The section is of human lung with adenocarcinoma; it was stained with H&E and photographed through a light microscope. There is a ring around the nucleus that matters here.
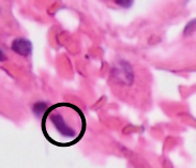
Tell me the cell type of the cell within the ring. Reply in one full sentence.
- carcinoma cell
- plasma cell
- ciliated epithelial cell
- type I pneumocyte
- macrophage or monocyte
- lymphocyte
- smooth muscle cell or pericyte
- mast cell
The category to which the cell within the ring belongs is that of a type I pneumocyte.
